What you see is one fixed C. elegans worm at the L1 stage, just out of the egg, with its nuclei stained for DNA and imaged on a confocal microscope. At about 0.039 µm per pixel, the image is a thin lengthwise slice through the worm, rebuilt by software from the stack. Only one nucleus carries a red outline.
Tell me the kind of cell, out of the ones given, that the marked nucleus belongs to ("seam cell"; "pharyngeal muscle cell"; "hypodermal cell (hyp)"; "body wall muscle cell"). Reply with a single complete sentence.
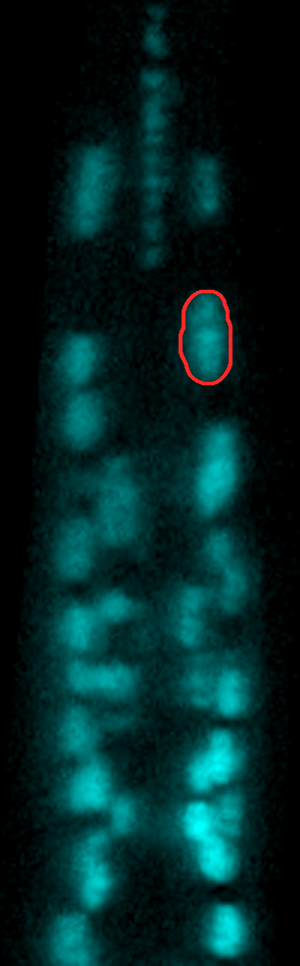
The marked cell is a body wall muscle cell.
